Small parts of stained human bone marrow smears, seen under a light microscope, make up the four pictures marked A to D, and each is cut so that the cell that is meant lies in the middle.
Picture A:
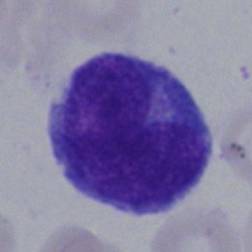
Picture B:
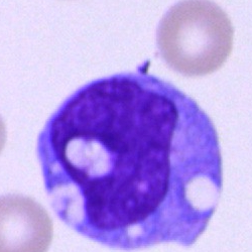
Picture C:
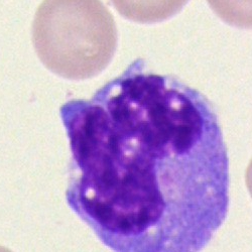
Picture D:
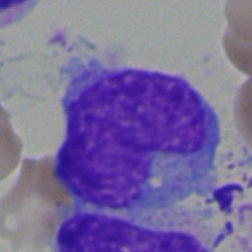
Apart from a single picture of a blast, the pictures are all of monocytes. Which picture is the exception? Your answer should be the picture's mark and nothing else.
A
